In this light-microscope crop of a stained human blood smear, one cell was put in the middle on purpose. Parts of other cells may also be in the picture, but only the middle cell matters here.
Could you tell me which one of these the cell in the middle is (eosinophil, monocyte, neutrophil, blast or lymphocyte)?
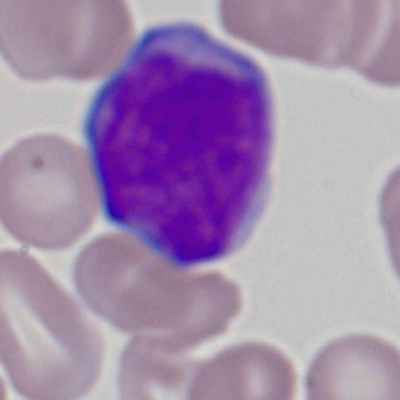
blast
